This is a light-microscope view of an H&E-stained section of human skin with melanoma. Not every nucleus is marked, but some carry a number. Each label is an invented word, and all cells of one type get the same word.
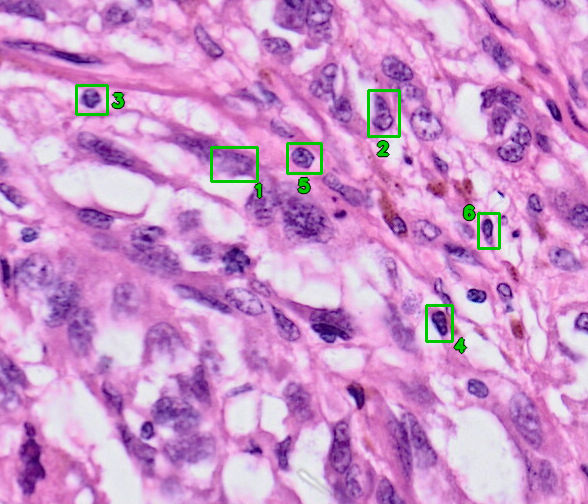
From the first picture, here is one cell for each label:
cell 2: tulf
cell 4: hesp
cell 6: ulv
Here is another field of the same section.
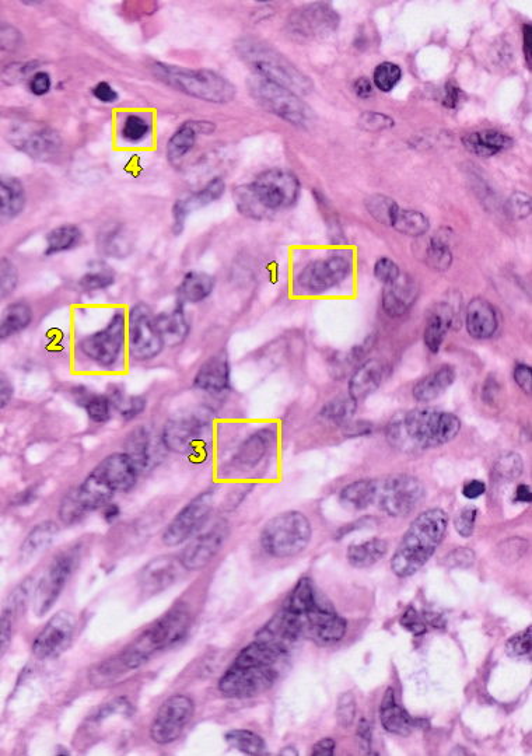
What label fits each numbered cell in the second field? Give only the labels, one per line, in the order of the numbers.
tulf
tulf
tulf
hesp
